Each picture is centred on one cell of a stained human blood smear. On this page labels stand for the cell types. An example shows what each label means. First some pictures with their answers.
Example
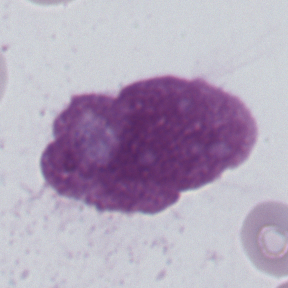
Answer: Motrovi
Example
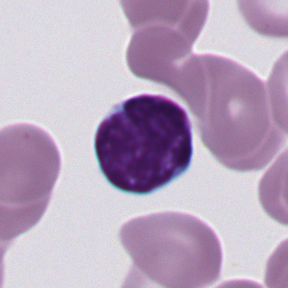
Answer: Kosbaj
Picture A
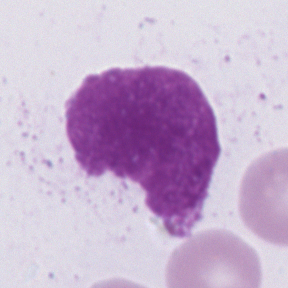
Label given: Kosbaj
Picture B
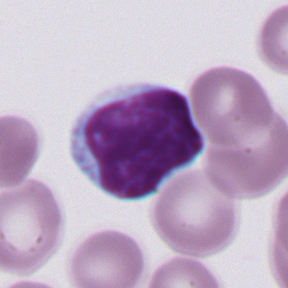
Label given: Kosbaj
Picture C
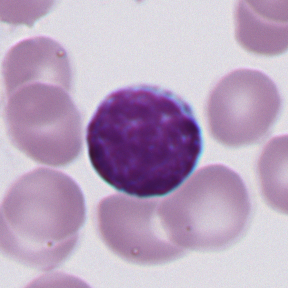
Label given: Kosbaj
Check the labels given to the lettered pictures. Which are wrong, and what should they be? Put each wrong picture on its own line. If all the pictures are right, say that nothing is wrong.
Wrong: A (Kosbaj); correct: Motrovi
